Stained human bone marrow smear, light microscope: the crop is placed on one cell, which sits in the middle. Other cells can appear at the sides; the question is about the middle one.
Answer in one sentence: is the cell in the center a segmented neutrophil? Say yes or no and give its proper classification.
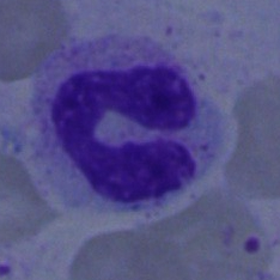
No, the middle cell is classified as a band neutrophil and not as a segmented neutrophil.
